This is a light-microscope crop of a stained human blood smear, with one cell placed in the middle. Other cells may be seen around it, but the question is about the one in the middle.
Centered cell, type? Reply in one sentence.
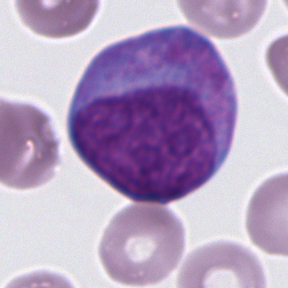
The cell positioned in the middle of the field is an atypical promyelocyte.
